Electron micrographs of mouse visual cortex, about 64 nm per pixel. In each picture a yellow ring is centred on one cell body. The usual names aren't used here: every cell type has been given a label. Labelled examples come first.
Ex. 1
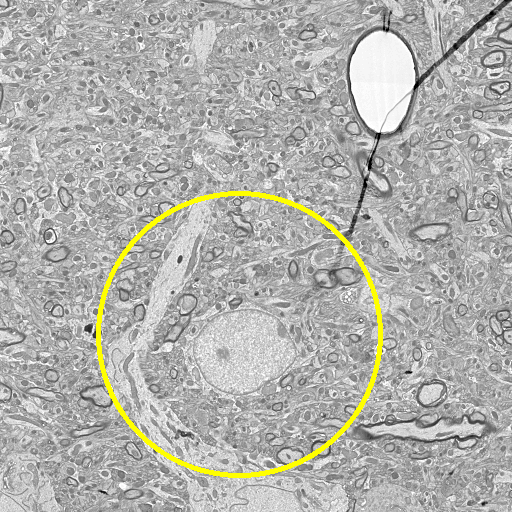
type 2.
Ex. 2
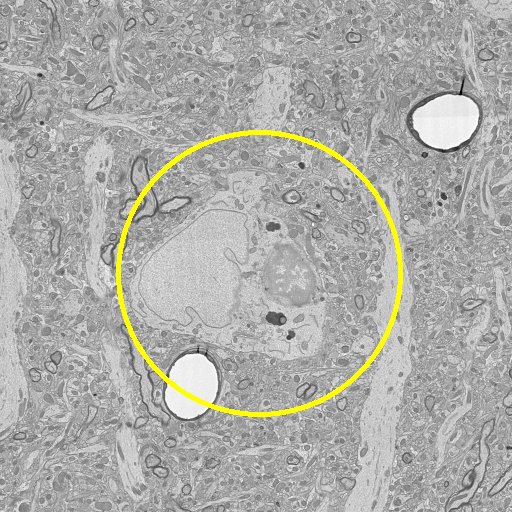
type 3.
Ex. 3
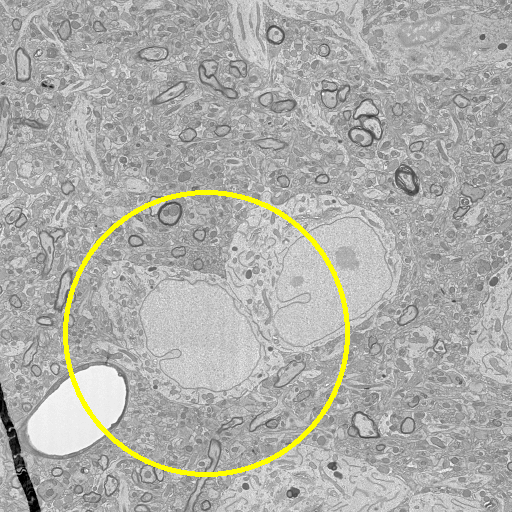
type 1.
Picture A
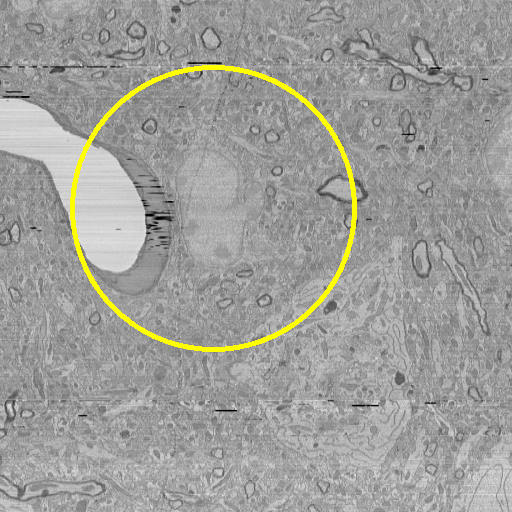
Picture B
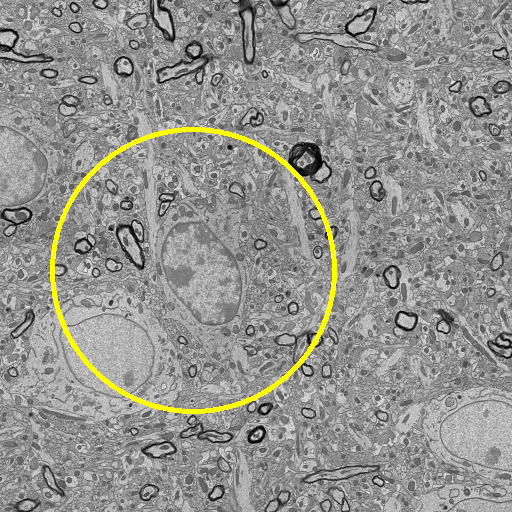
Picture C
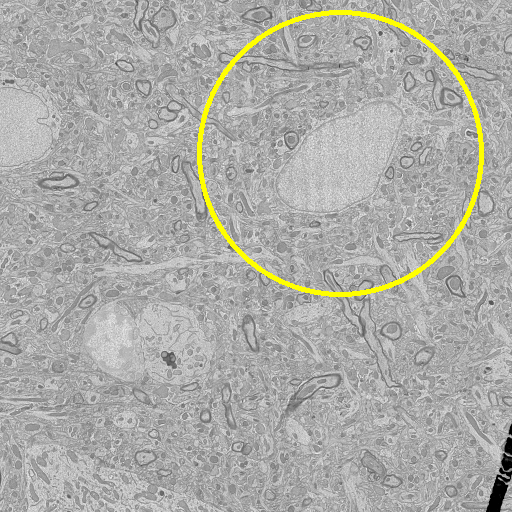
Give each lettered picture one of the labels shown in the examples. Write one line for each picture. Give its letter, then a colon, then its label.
A: type 2.
B: type 3.
C: type 2.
